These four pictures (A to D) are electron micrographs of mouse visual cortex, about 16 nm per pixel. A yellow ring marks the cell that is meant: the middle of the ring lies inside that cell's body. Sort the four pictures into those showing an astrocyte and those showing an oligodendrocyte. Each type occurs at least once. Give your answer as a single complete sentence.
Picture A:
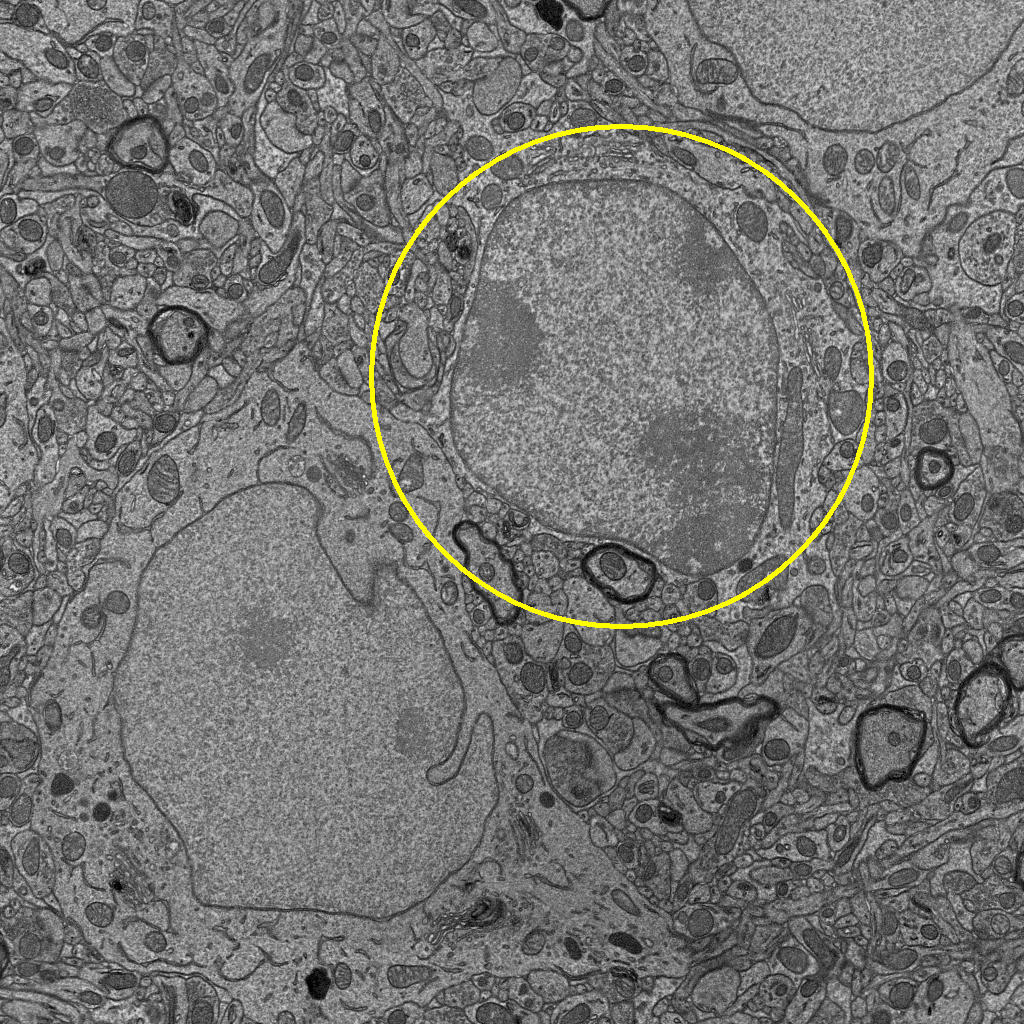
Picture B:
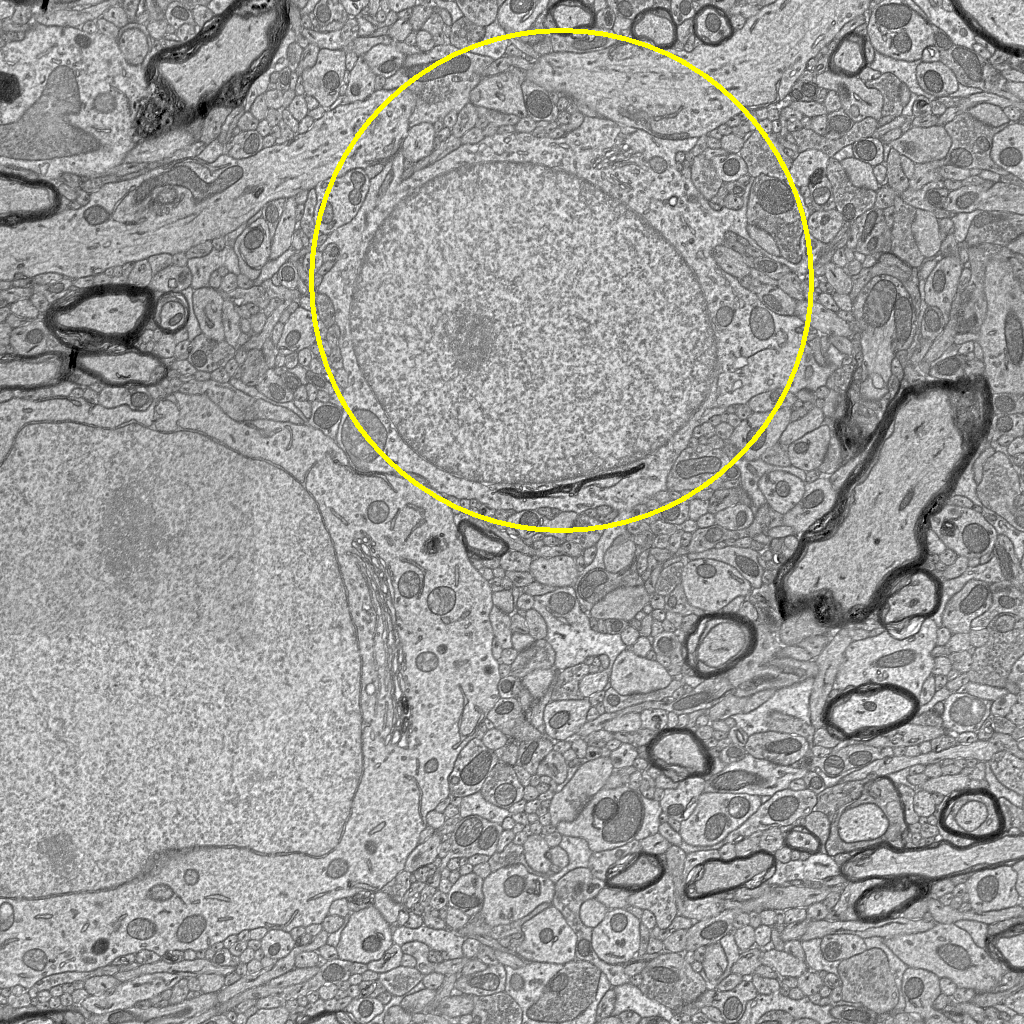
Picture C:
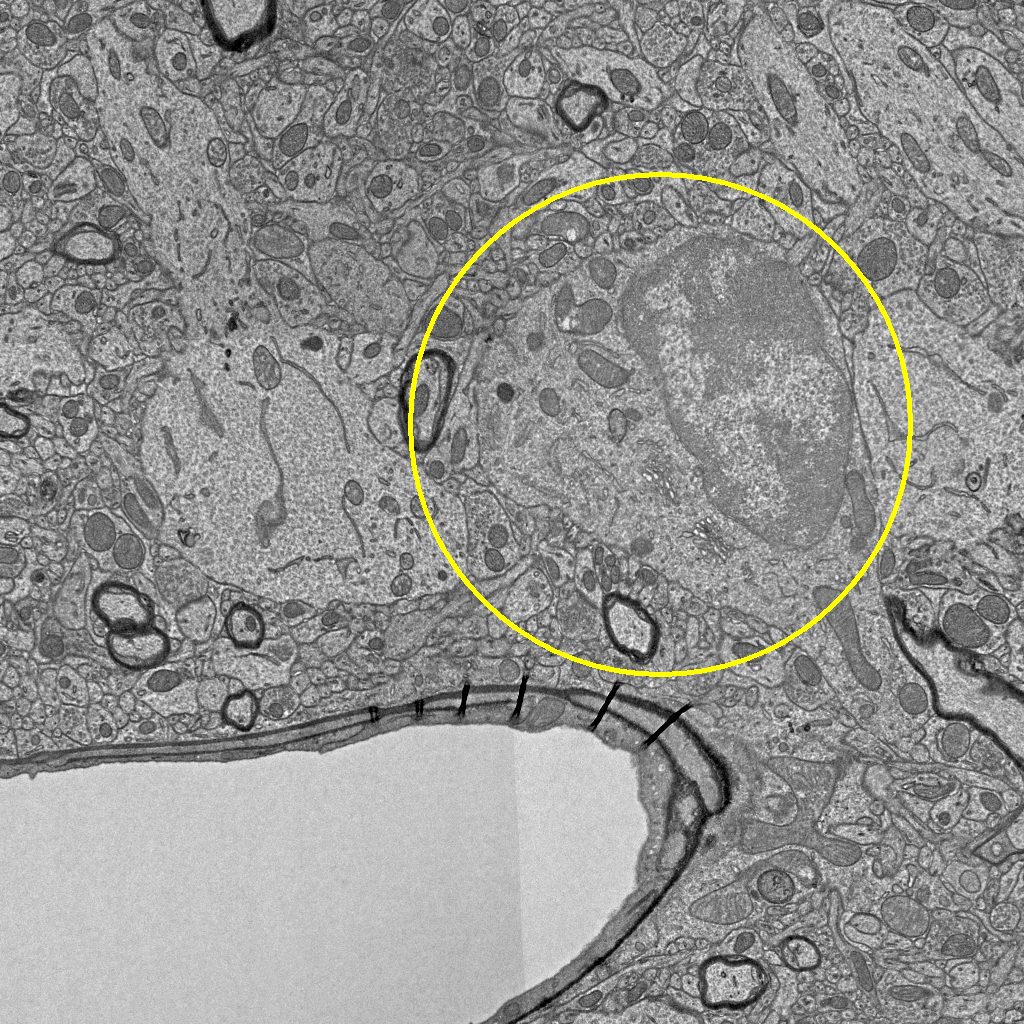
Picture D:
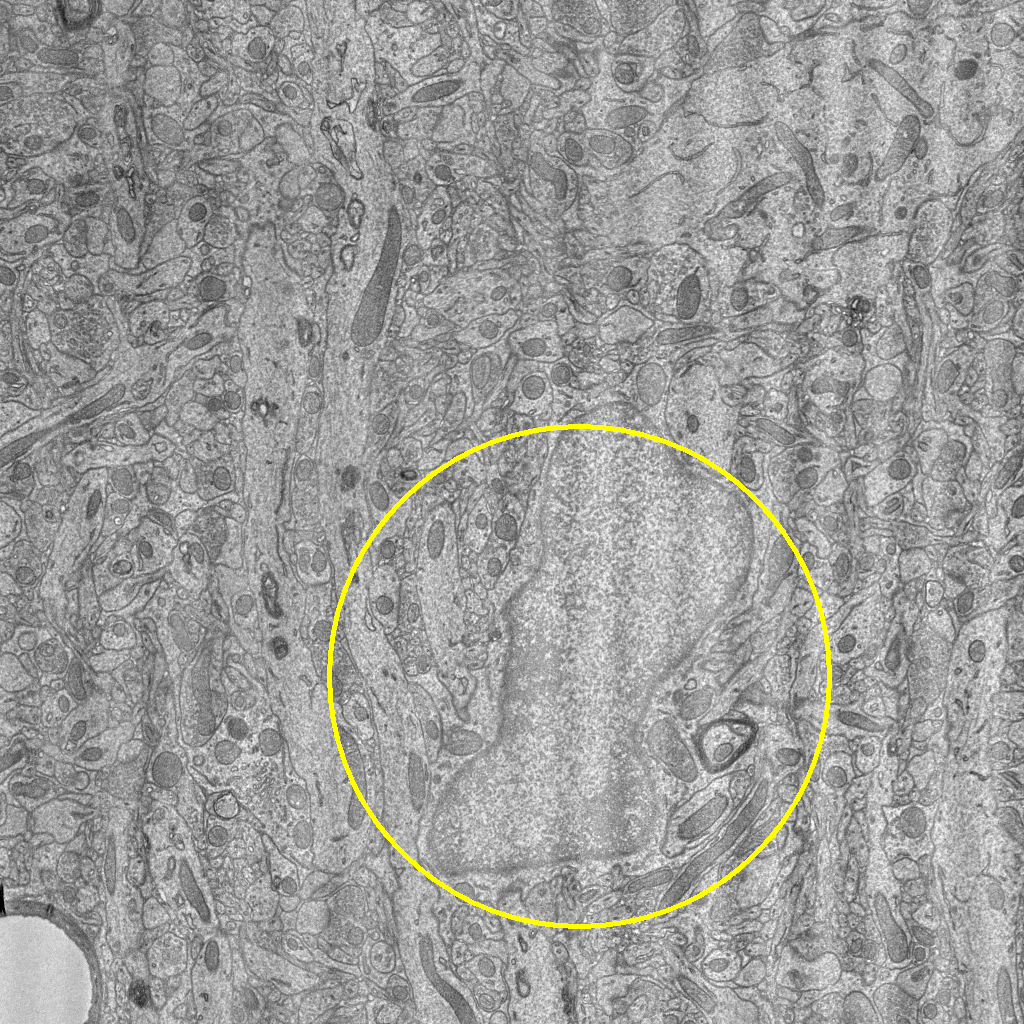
Pictures A, B and D show astrocytes; picture C shows an oligodendrocyte.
